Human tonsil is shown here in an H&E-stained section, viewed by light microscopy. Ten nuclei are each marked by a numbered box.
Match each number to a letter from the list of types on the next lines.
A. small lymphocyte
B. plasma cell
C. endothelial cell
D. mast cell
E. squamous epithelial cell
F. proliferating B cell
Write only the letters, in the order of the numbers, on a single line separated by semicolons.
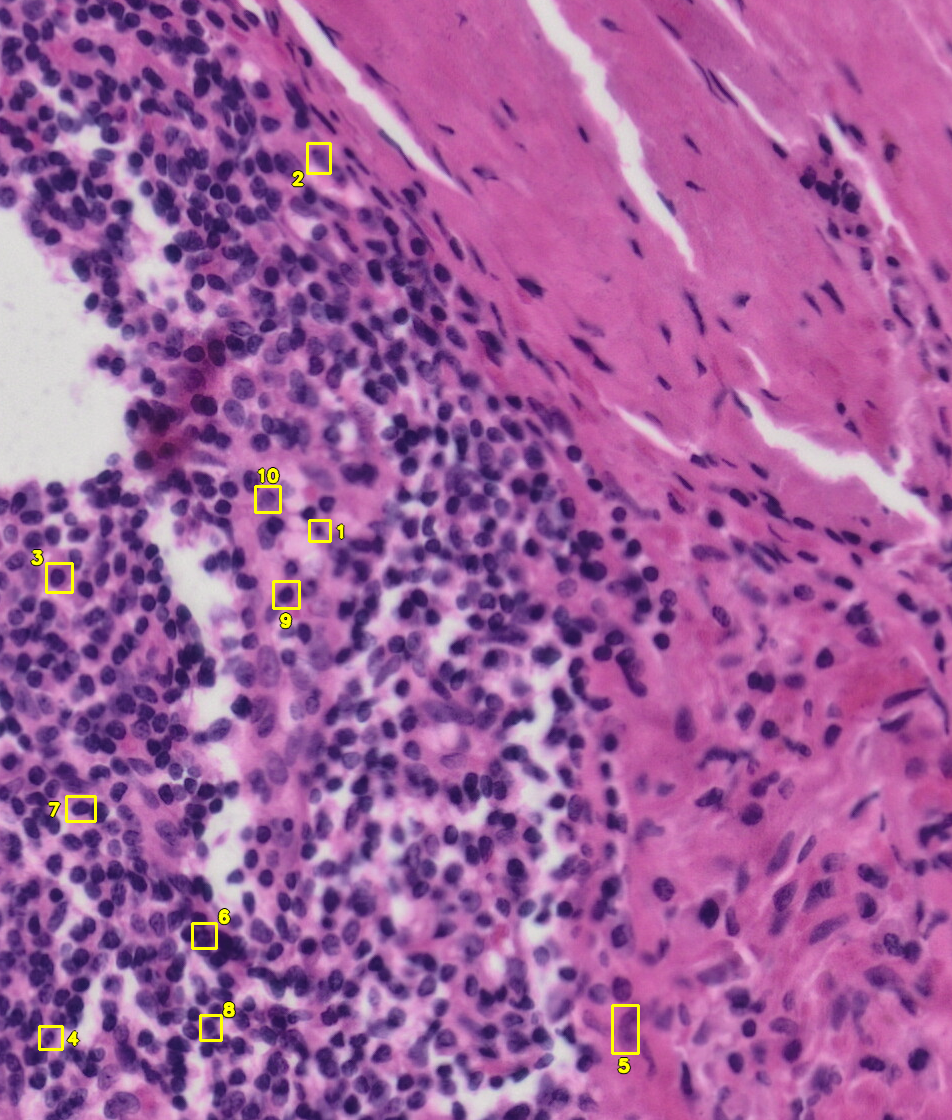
C; C; B; A; C; A; A; A; C; C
